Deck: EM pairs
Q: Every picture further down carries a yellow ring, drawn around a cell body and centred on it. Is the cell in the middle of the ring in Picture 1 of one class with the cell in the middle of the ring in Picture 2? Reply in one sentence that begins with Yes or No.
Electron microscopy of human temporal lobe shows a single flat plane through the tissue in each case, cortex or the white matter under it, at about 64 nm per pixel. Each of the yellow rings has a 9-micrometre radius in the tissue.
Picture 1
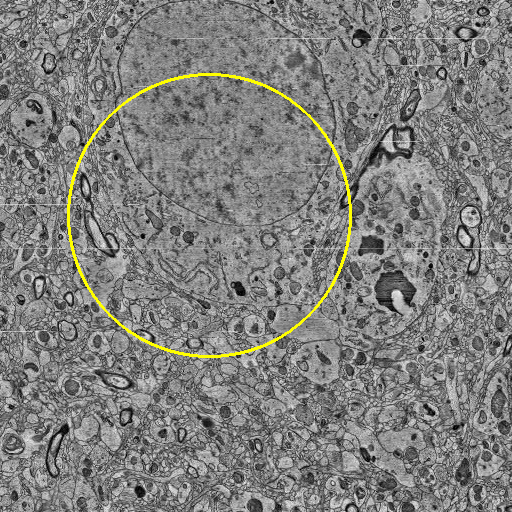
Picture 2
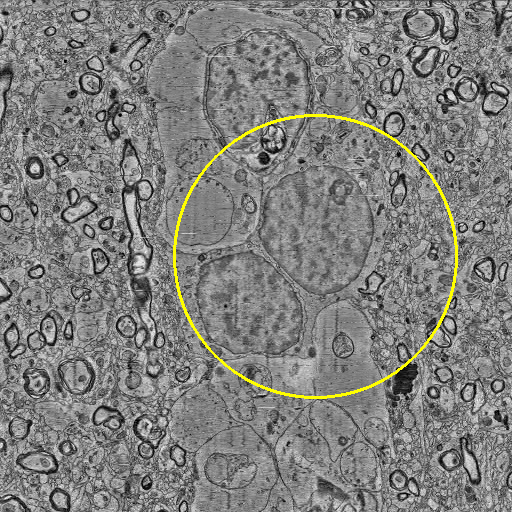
No, the cell centred in the ring of Picture 1 and the one in Picture 2 belong to separate classes.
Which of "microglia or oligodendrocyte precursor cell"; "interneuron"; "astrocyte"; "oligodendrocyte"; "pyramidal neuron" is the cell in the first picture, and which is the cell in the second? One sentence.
The two differ: the first cell is a pyramidal neuron and the second is an oligodendrocyte.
